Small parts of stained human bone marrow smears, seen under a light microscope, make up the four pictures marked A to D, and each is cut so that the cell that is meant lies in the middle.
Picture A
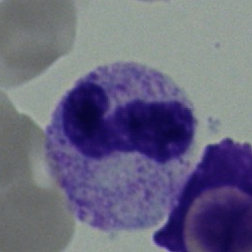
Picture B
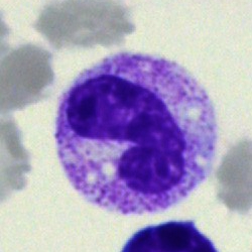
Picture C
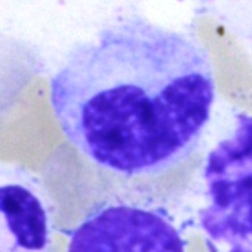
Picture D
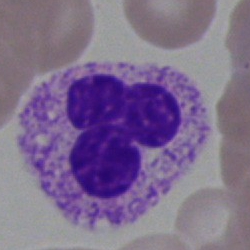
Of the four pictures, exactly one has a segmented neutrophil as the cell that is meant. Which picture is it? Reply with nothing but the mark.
D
